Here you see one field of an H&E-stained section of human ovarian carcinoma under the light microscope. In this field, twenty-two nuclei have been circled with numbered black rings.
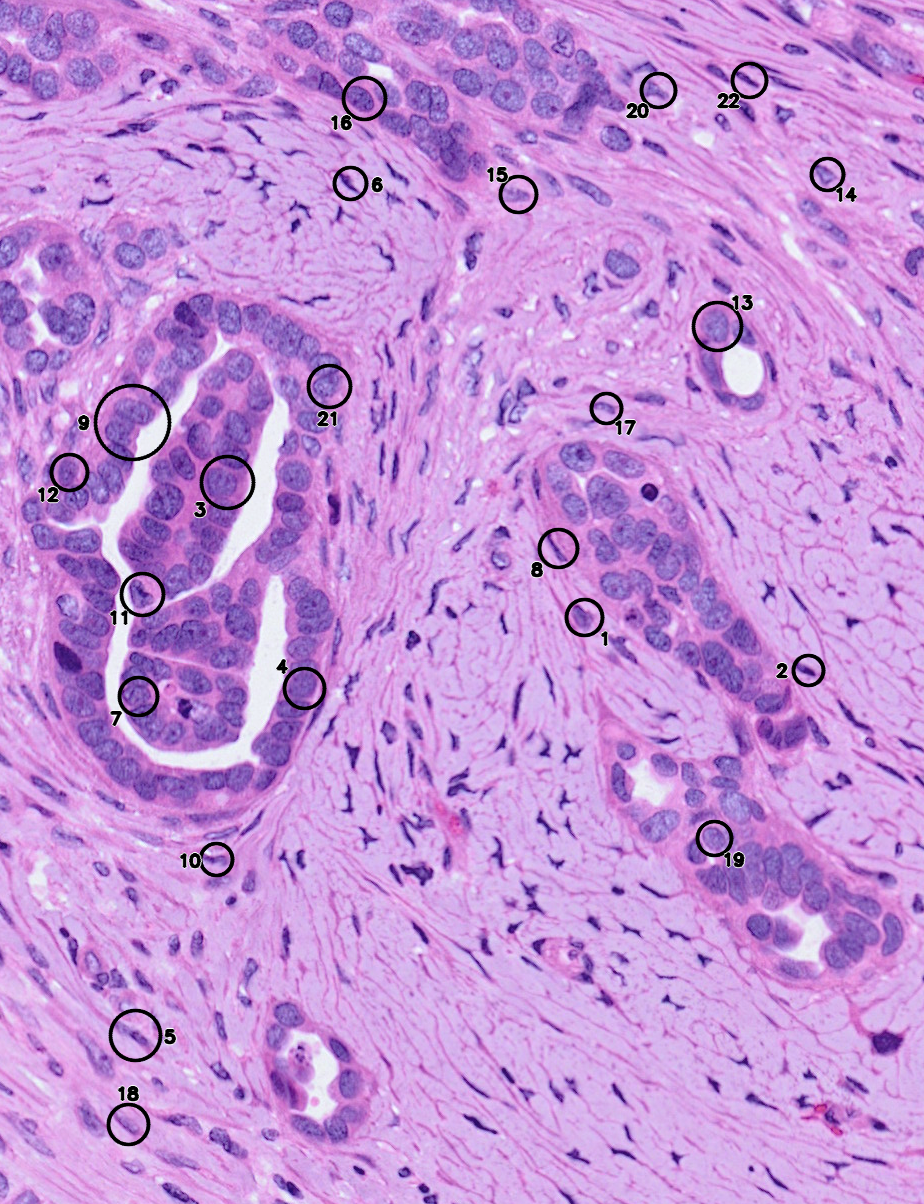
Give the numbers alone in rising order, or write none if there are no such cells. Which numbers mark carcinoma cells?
3, 4, 7, 9, 12, 13, 16, 19, 21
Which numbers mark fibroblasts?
1, 2, 5, 6, 8, 10, 14, 15, 17, 18, 20, 22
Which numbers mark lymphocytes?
none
